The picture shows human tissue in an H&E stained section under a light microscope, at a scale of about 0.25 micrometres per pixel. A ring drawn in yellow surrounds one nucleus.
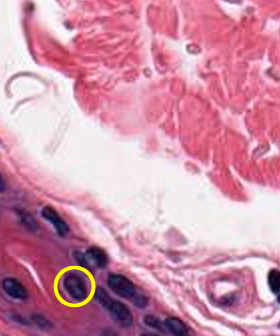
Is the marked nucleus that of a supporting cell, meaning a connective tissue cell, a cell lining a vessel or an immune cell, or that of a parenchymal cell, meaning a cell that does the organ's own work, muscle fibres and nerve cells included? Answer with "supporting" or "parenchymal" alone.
parenchymal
